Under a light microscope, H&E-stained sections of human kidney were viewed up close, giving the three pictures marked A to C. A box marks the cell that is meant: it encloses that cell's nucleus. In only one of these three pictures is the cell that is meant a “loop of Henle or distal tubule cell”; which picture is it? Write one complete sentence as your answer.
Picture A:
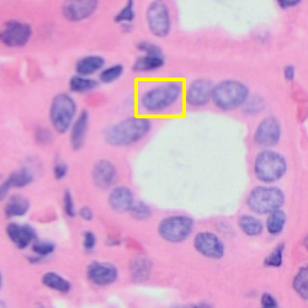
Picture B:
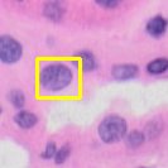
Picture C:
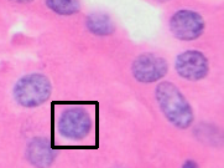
Picture C is the one that shows the “loop of Henle or distal tubule cell”.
